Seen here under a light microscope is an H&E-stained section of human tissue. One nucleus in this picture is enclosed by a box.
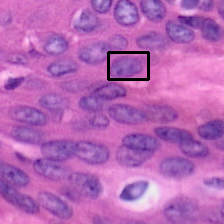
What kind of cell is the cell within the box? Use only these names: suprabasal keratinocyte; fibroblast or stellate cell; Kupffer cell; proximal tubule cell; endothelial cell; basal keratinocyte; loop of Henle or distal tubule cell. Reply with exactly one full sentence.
The expected answer is simply that the cell within the box is a basal keratinocyte.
